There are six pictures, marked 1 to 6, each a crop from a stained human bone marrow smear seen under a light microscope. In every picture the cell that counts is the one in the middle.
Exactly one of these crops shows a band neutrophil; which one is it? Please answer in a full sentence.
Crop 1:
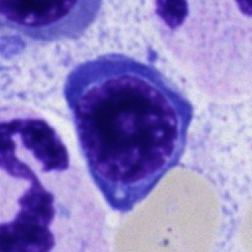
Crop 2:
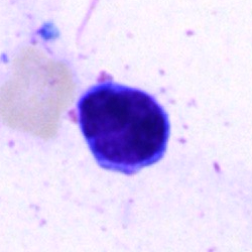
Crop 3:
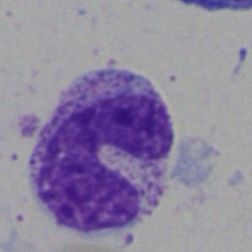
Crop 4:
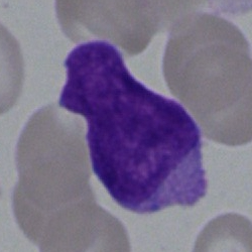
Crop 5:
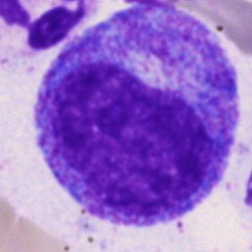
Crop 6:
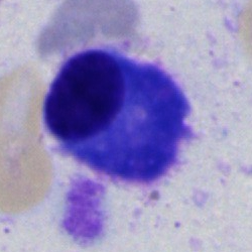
Crop 3 is the one in this set that shows a band neutrophil.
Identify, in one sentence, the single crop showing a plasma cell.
The crop with a plasma cell in it is crop 6.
